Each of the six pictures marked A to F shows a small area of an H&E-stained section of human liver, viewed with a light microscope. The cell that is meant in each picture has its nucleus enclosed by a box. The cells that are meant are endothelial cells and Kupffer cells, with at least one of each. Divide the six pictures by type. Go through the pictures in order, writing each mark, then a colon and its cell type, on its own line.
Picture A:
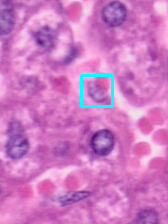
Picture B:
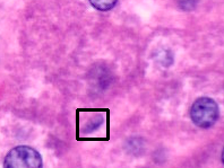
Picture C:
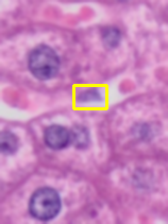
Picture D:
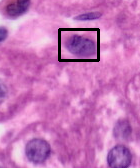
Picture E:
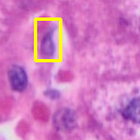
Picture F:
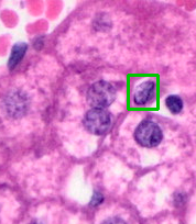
A: Kupffer cell
B: endothelial cell
C: endothelial cell
D: Kupffer cell
E: Kupffer cell
F: Kupffer cell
